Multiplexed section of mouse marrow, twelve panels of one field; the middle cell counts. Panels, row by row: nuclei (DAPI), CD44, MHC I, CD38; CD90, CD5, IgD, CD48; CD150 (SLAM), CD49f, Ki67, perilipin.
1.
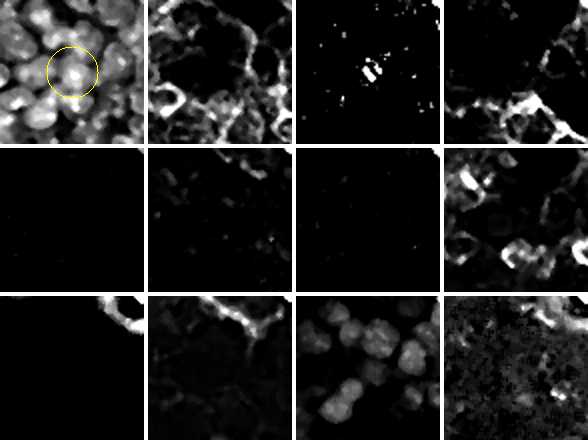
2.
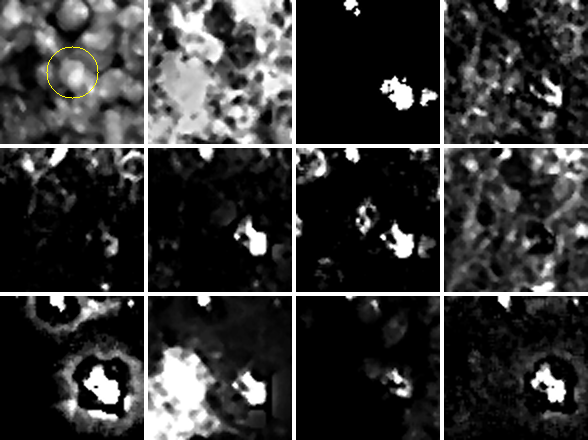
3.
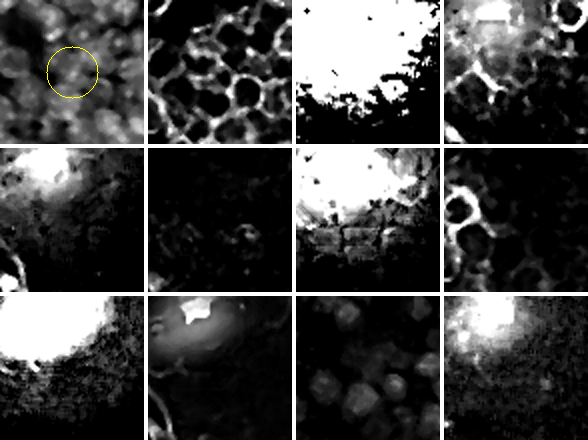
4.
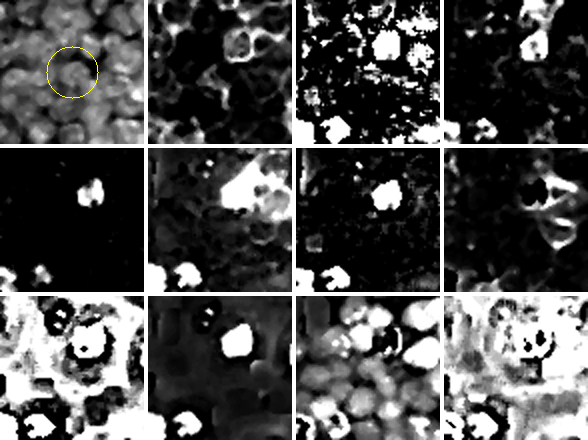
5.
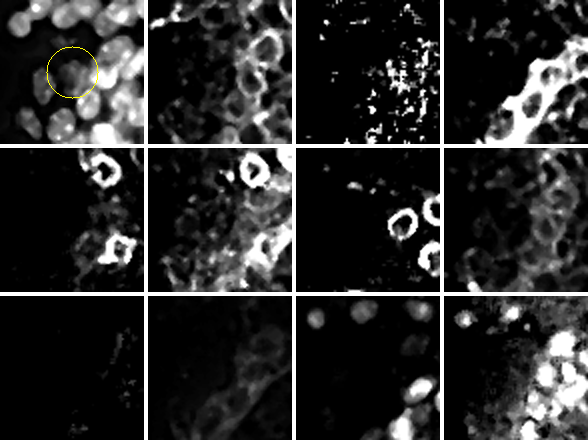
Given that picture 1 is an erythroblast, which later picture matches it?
4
